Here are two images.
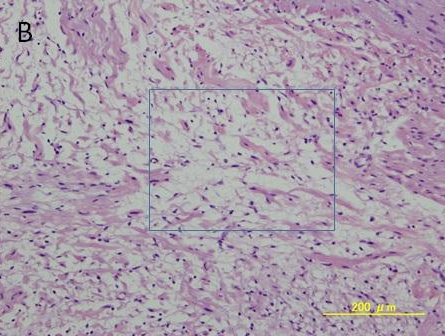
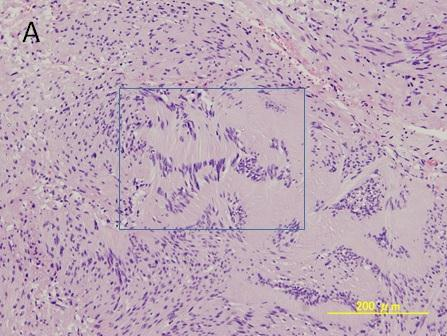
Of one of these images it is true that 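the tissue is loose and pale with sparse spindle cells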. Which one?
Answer: the first image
